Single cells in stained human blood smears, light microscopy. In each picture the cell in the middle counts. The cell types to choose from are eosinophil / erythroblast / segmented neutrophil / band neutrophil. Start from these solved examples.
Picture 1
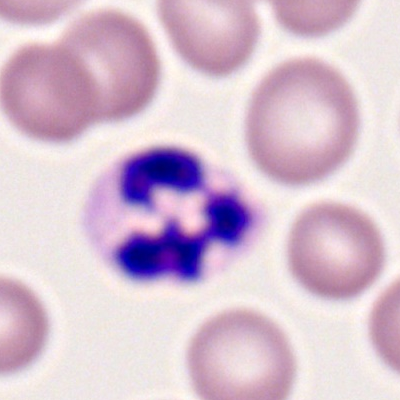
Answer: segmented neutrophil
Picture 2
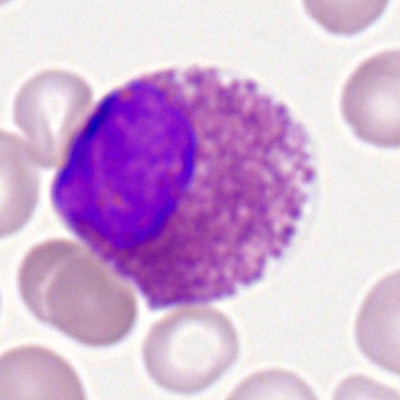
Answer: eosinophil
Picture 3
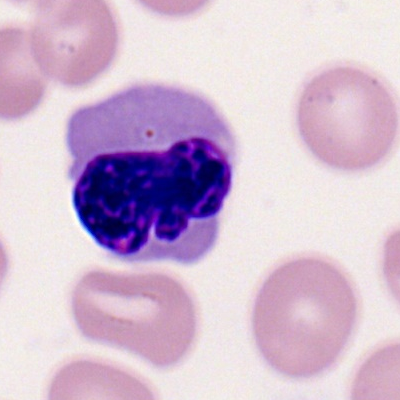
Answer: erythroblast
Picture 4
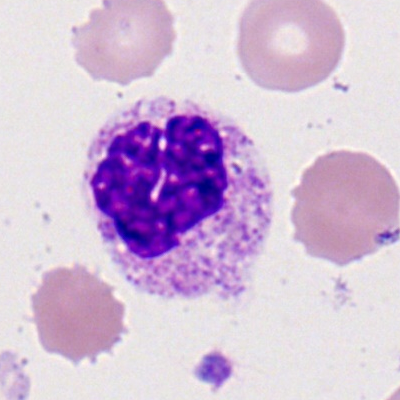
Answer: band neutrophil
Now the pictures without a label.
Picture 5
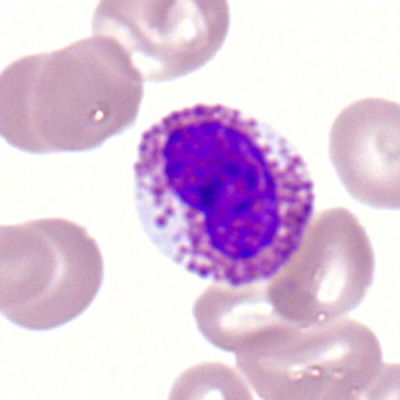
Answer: eosinophil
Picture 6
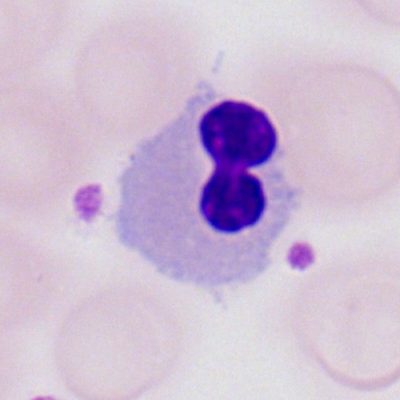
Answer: erythroblast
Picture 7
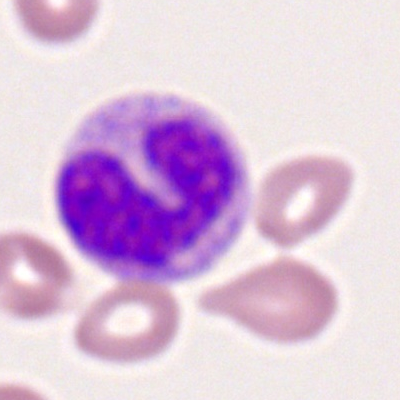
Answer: band neutrophil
